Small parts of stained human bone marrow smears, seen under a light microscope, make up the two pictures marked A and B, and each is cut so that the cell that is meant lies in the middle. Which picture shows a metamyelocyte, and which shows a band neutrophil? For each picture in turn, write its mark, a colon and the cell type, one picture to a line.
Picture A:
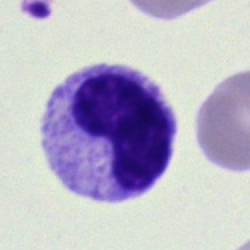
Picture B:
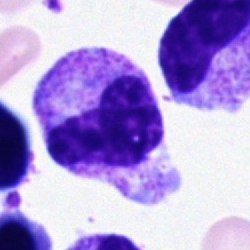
A: band neutrophil
B: metamyelocyte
